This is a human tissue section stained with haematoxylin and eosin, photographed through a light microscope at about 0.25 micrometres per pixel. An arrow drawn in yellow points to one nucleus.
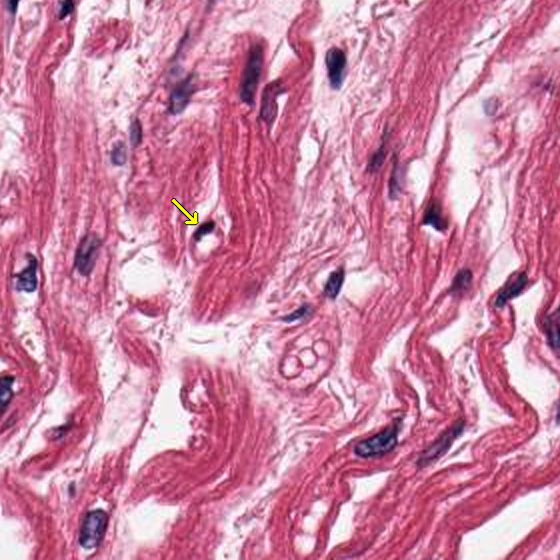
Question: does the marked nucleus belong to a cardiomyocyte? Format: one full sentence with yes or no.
No, the marked nucleus belongs to a supporting cell, not to a cardiomyocyte.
